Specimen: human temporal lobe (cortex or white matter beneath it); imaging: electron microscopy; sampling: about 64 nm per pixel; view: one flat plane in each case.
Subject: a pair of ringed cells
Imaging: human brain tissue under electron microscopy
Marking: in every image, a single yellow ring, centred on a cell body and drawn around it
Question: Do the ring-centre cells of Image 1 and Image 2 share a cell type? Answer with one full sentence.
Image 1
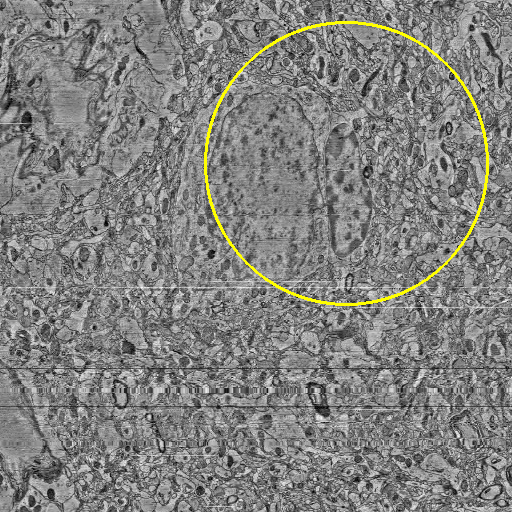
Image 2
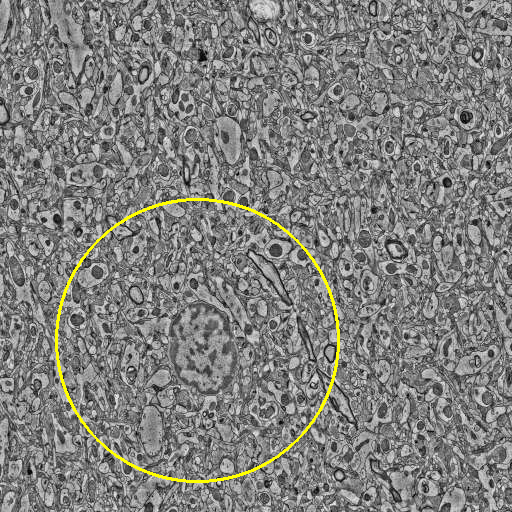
No, at the ring centres in the images sit cells of two separate types.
